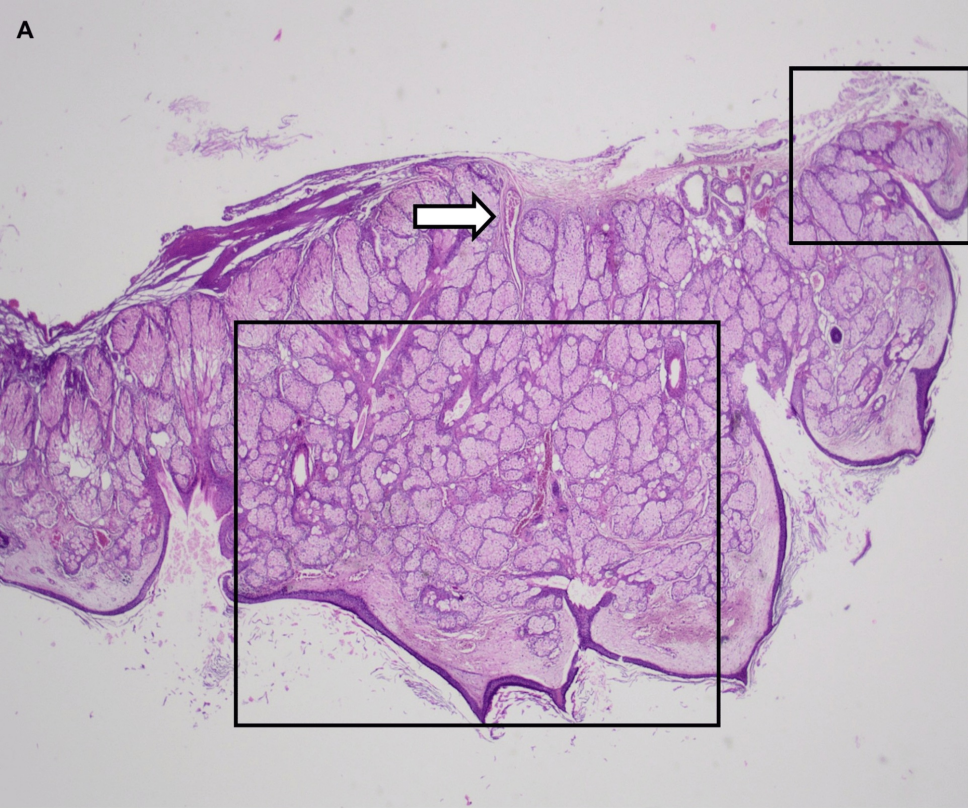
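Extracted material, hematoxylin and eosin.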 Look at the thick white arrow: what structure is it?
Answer: hair follicles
